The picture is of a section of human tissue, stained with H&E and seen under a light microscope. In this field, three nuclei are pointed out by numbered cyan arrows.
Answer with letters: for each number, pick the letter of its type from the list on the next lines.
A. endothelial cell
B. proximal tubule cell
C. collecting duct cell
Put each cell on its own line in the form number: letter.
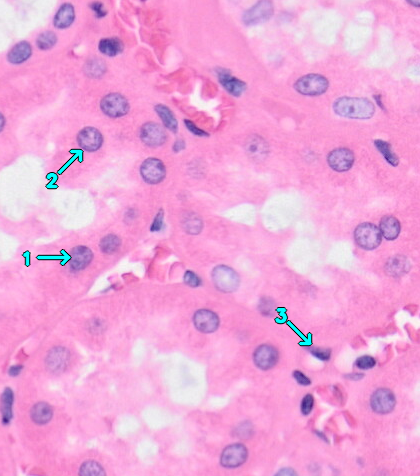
1: B
2: B
3: A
